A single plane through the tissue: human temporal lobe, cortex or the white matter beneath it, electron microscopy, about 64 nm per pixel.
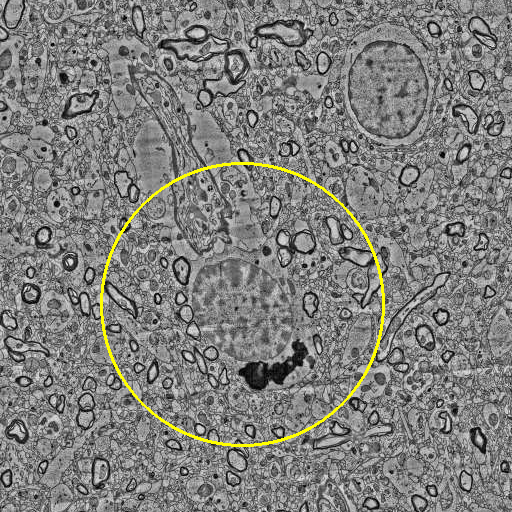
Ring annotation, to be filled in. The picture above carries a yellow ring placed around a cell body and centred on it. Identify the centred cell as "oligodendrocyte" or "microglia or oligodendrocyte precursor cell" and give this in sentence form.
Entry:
The cell in the middle of the ring is an oligodendrocyte.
